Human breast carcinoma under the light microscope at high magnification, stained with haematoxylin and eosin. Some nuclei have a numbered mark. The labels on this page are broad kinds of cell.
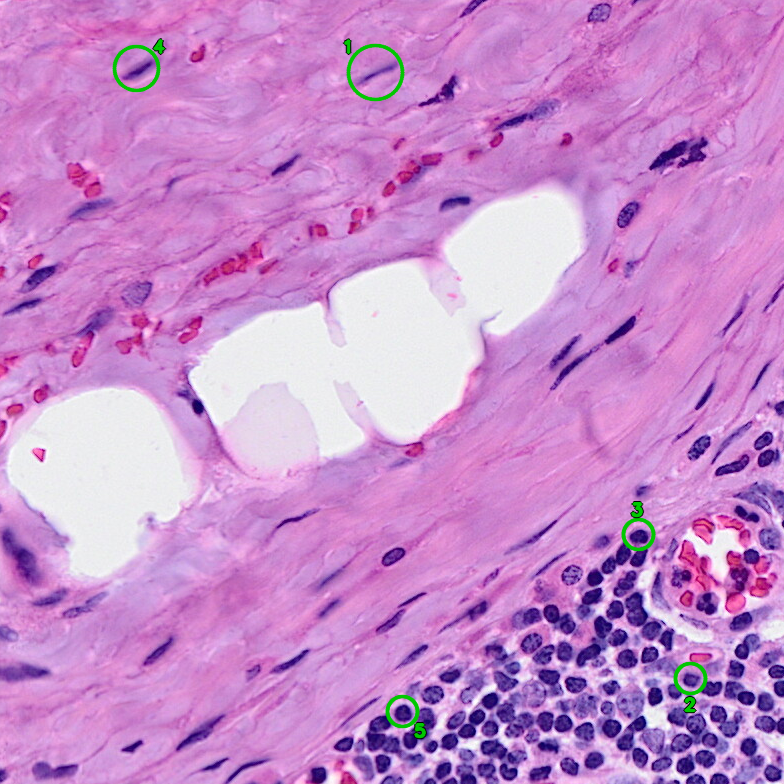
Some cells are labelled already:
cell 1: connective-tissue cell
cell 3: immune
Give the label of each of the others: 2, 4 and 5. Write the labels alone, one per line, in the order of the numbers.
immune
connective-tissue cell
immune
